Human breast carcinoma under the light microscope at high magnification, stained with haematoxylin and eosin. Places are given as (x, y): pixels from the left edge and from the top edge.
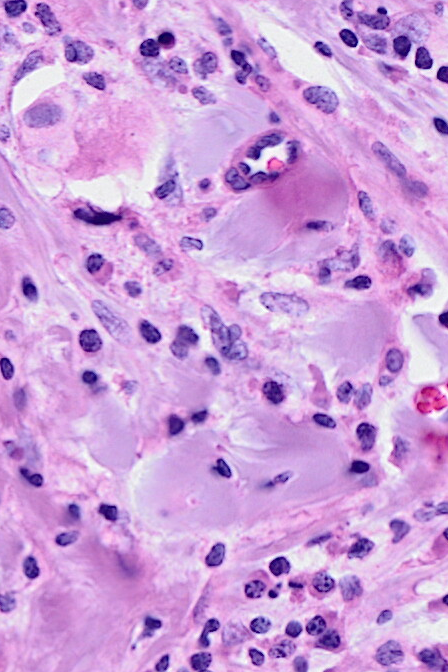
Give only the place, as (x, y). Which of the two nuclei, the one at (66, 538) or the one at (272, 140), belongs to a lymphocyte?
(66, 538)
